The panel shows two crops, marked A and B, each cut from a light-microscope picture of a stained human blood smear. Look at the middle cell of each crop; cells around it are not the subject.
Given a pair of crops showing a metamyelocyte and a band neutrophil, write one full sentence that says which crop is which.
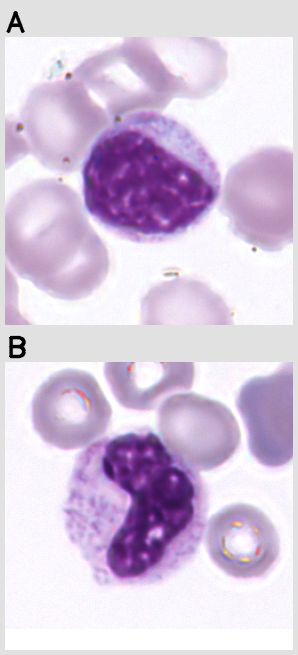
Crop A is a metamyelocyte, and, separately, crop B is a band neutrophil.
